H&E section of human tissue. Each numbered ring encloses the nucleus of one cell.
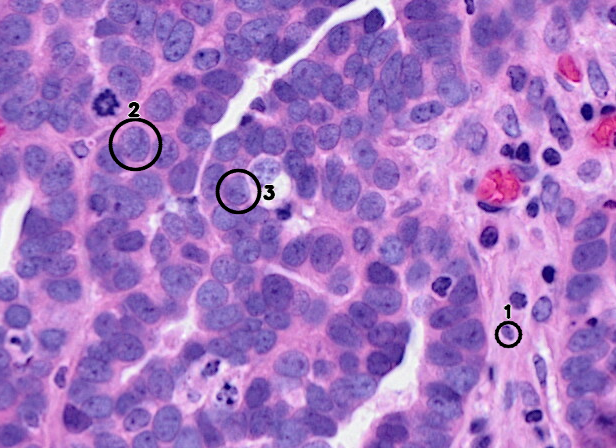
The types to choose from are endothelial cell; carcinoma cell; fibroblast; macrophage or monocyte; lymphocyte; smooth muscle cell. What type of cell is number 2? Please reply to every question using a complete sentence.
Identified by the number 2, the cell is a carcinoma cell.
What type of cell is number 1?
Numbered cell 1 is a lymphocyte in this tissue section.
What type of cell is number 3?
Classified as a carcinoma cell is the cell with the number 3.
